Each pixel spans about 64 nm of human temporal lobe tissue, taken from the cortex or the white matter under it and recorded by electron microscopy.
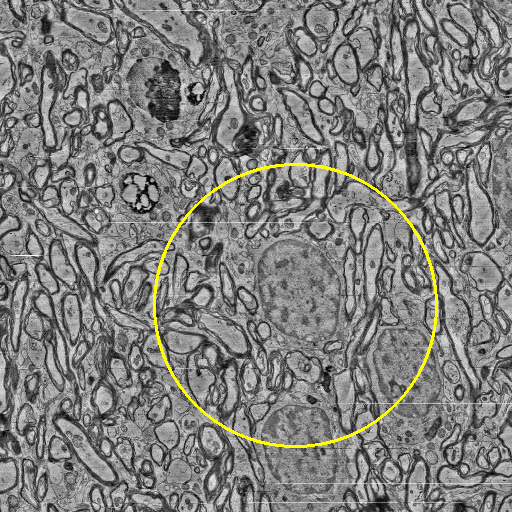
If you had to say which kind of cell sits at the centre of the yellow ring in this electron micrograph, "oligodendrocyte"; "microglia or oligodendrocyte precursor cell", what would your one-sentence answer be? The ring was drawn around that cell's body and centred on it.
The cell sitting at the centre of the ring is an oligodendrocyte.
